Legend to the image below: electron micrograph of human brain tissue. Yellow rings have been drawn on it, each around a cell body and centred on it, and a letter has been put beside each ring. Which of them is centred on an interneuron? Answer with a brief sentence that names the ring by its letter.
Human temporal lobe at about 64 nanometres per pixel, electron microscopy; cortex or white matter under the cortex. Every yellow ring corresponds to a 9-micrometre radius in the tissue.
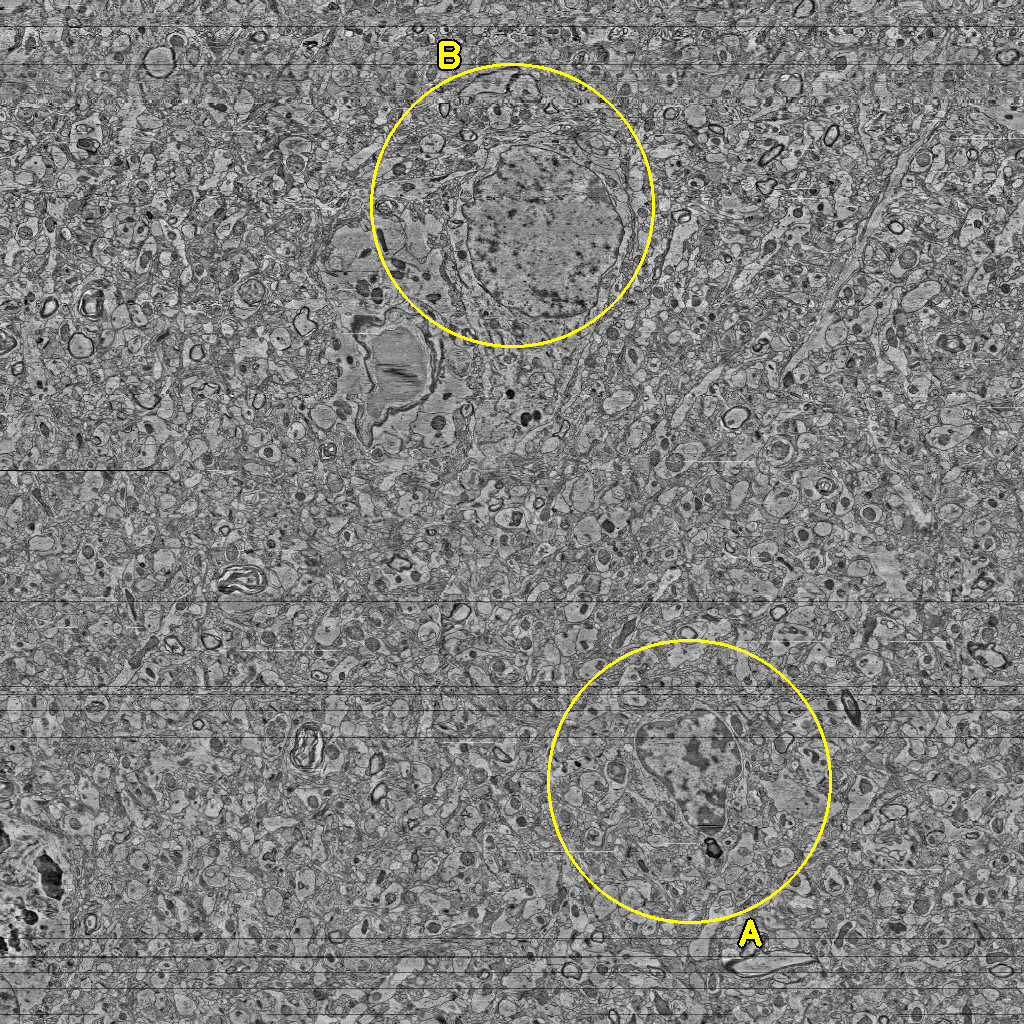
It is the ring lettered B.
